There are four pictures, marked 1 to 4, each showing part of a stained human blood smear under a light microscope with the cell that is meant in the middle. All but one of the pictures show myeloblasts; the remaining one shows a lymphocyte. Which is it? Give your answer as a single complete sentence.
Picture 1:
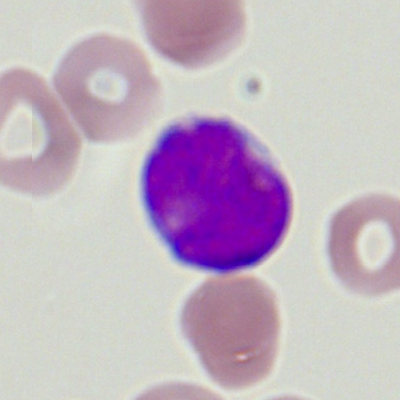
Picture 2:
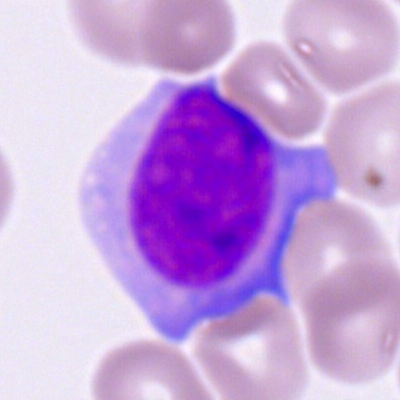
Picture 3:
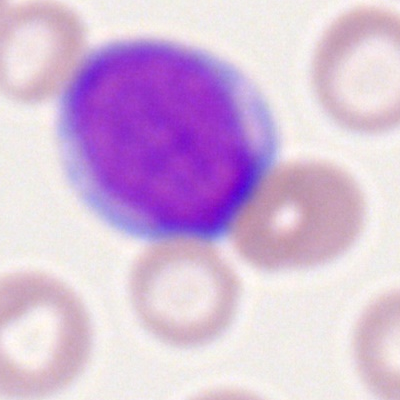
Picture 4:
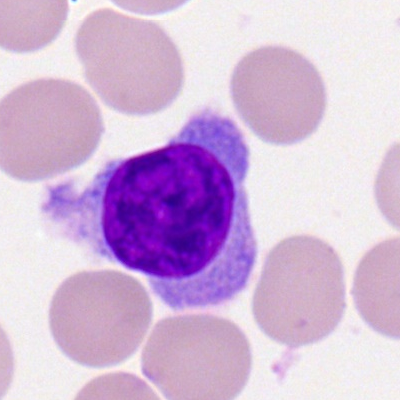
The lymphocyte is the one in picture 4.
